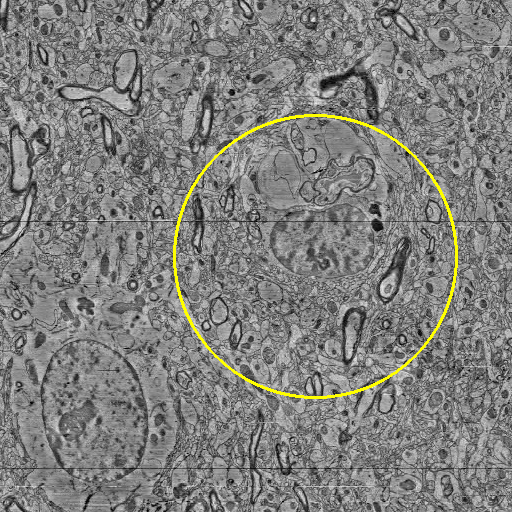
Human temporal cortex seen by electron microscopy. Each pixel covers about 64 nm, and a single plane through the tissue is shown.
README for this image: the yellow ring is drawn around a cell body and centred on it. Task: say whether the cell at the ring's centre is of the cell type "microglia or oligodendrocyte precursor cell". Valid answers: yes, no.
no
